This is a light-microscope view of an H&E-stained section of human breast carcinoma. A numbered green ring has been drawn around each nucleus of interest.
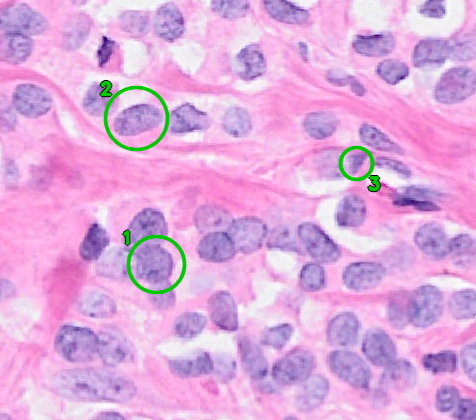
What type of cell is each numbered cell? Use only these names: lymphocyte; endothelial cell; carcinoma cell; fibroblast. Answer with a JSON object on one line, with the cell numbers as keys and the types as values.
{"1": "carcinoma cell", "2": "carcinoma cell", "3": "endothelial cell"}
